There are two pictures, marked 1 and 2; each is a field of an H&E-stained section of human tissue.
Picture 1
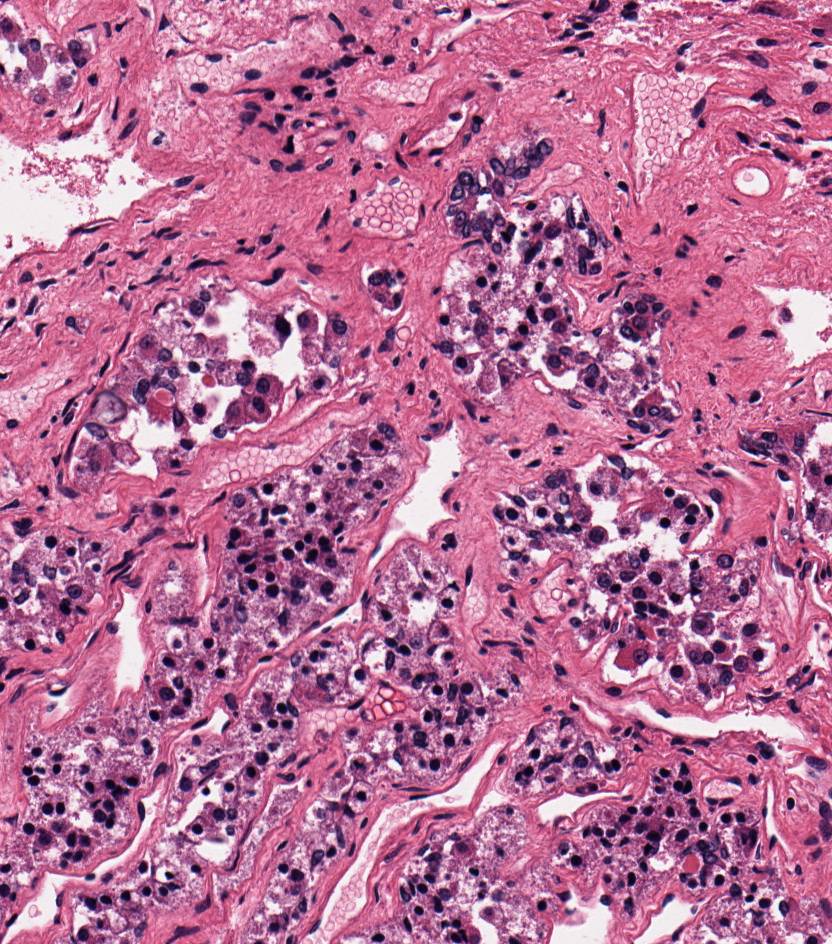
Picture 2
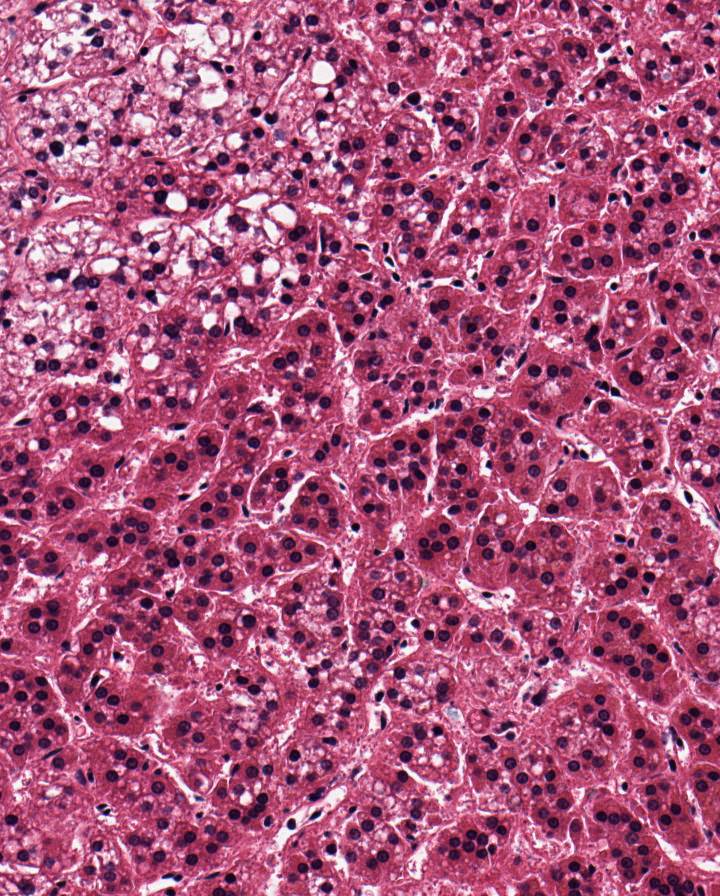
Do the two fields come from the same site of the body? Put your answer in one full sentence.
No: picture 1 comes from the pituitary, but picture 2 comes from the adrenal gland.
